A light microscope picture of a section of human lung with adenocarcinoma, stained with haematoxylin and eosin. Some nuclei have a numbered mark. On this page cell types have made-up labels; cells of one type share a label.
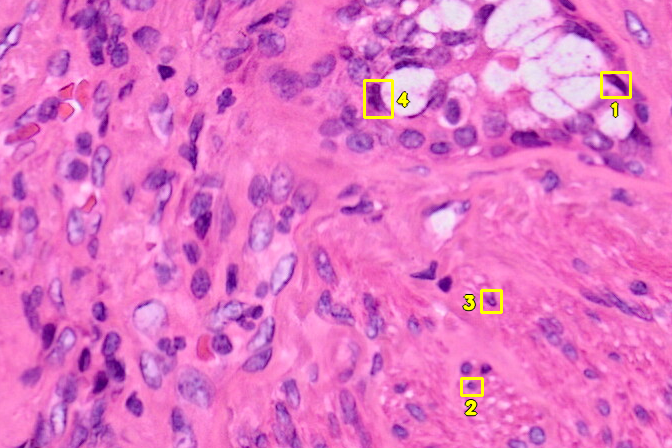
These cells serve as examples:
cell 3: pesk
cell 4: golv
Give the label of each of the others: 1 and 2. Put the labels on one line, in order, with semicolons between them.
golv; pesk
